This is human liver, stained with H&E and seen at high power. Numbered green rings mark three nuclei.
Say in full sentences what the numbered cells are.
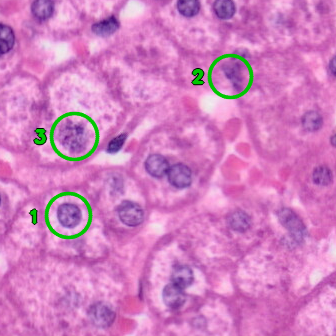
Cell 1 is a hepatocyte, cell 2 is an endothelial cell and cell 3 is a hepatocyte.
